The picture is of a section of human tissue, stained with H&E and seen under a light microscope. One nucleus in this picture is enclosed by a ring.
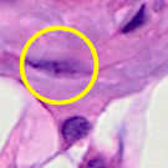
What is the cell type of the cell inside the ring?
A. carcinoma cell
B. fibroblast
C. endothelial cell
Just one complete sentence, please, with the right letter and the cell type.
The choice that fits is option B, as the cell inside the ring is a fibroblast.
